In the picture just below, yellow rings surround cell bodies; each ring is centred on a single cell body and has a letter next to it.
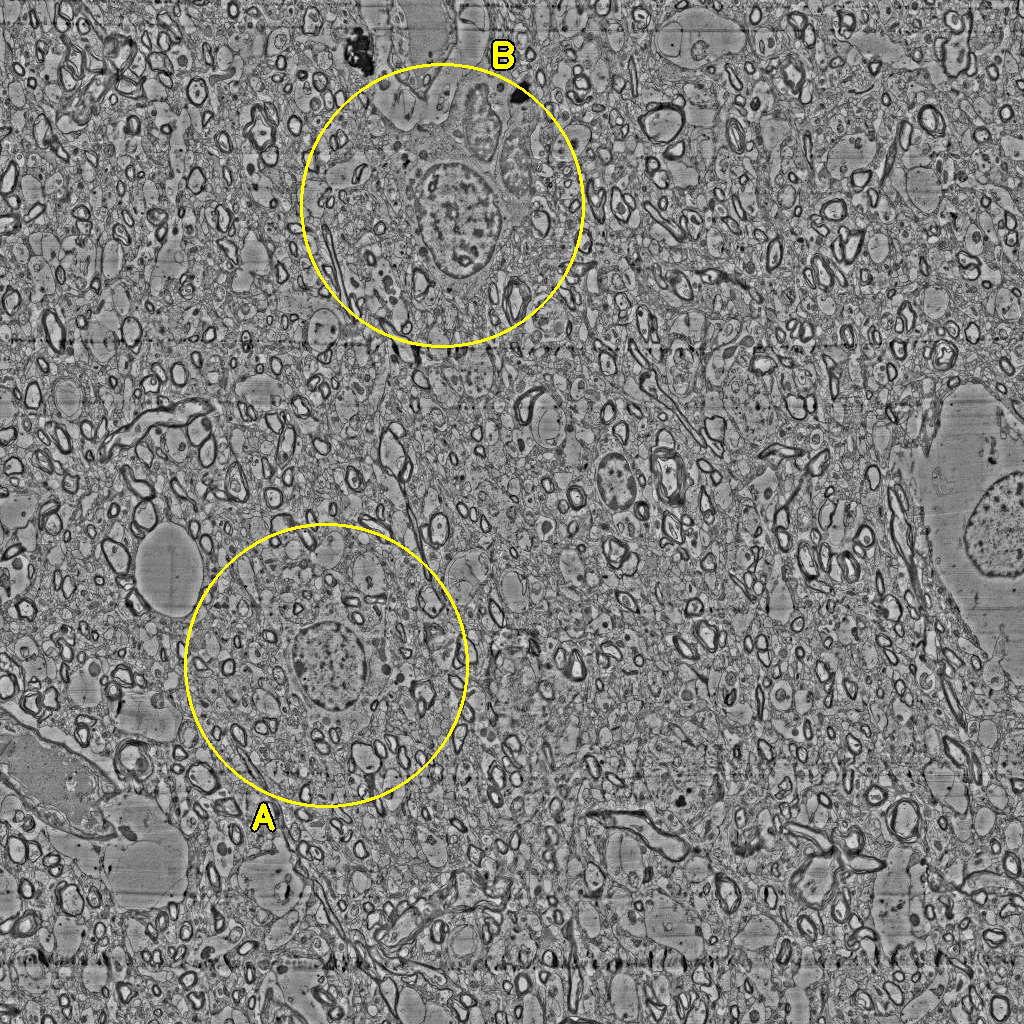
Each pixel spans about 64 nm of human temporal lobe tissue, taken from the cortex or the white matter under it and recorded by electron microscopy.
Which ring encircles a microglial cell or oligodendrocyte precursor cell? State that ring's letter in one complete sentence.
The letter A marks the ring centred on the cell asked for in the picture.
